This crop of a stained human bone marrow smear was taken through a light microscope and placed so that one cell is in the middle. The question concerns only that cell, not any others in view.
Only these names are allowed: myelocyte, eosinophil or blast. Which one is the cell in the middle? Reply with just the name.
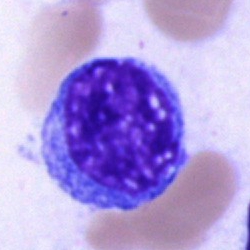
blast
